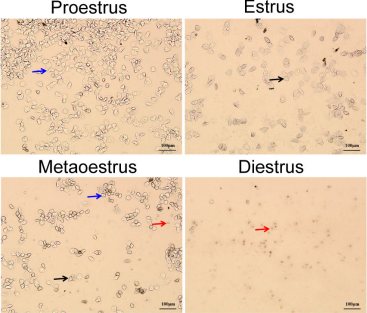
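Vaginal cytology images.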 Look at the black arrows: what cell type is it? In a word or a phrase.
Flaky enucleated keratinized cells.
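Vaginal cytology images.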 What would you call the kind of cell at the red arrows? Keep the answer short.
White blood cells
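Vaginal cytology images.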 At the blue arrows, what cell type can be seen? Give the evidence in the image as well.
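The blue arrows point to round to oval cells of moderate size. They lie in clusters in the proestrus field. The answer: nucleated epithelial cells.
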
